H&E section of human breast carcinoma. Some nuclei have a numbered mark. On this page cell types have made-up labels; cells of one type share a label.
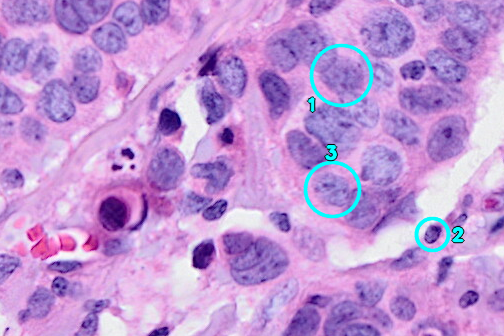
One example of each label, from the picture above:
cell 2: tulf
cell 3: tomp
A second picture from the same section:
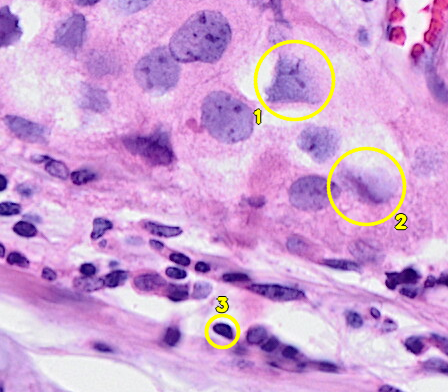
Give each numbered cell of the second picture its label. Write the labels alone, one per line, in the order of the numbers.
tomp
tomp
tulf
